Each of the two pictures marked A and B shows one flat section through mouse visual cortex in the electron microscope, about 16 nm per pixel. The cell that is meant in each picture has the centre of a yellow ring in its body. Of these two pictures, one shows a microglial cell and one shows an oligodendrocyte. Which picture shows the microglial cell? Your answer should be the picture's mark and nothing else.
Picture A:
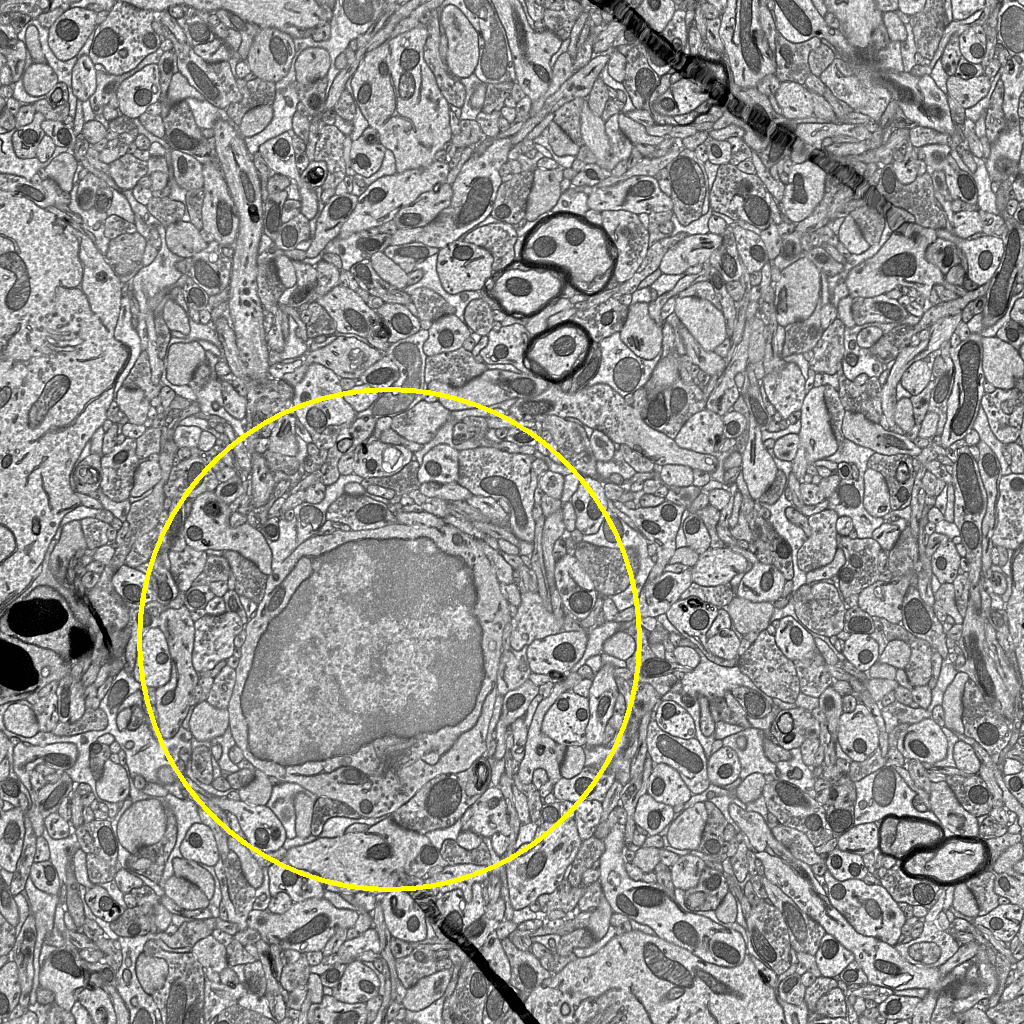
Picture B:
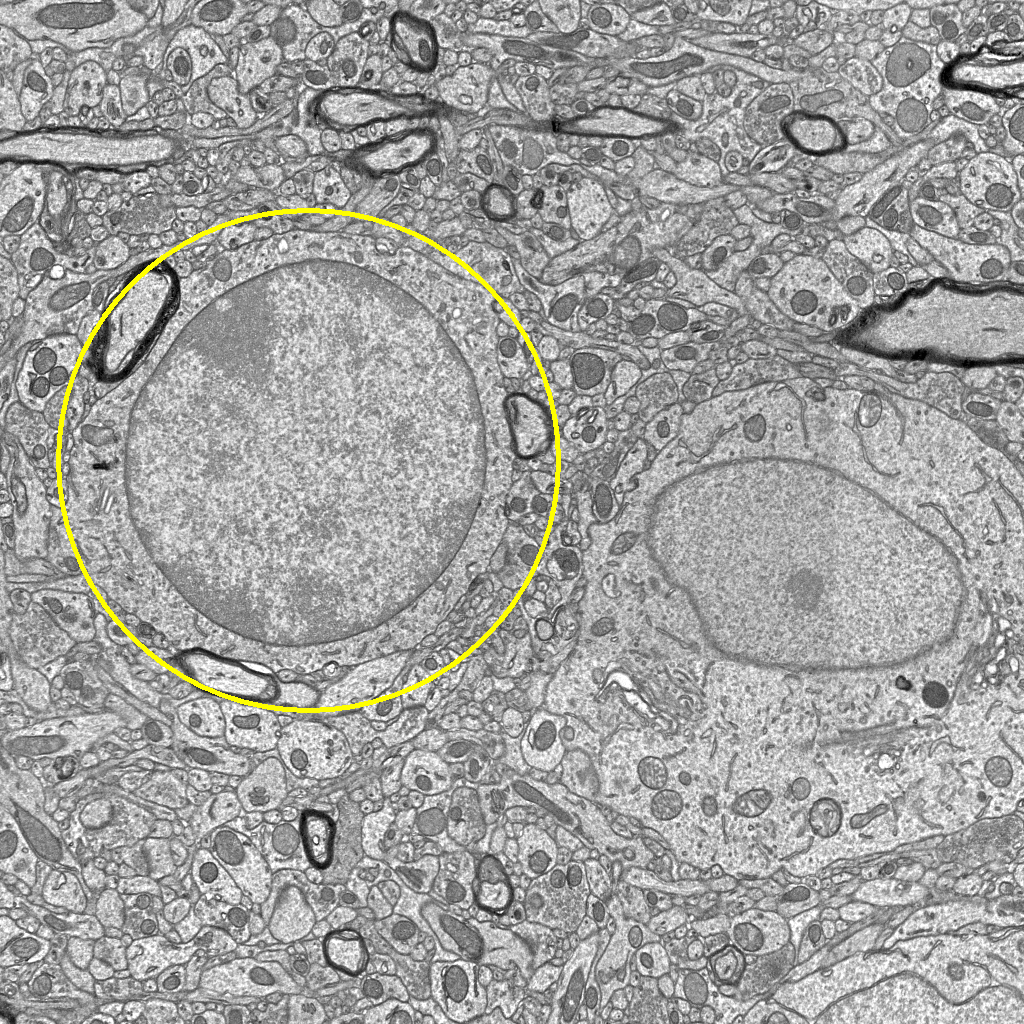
A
